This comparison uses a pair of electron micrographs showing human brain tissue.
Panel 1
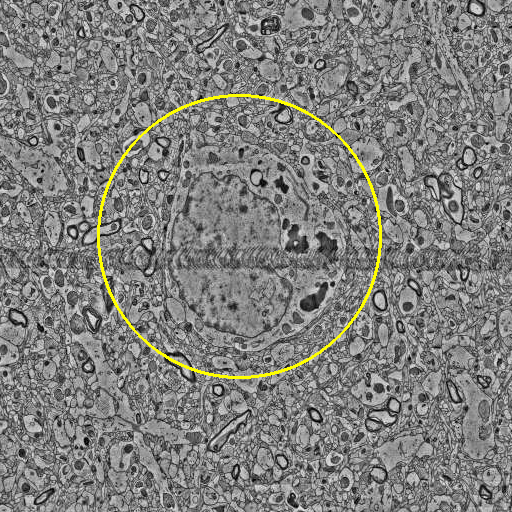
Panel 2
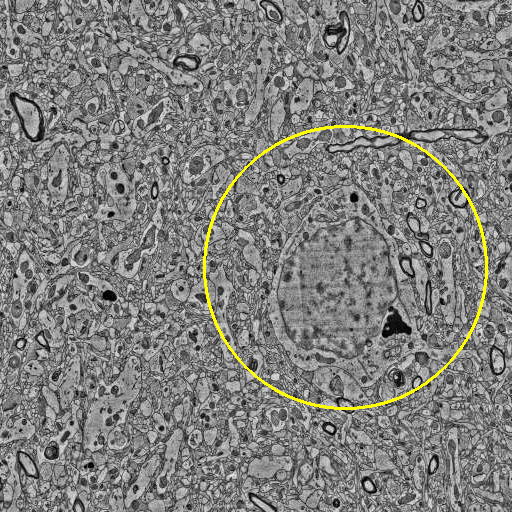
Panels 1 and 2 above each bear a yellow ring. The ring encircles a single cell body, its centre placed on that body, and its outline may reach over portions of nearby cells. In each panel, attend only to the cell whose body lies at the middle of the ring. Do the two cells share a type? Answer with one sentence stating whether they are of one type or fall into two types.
In Panel 1 and Panel 2, the cells at the centres of the rings are of one type.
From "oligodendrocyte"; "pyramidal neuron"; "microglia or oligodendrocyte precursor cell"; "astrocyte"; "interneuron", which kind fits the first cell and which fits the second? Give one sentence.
The cell at the ring centre is an interneuron in both pictures.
